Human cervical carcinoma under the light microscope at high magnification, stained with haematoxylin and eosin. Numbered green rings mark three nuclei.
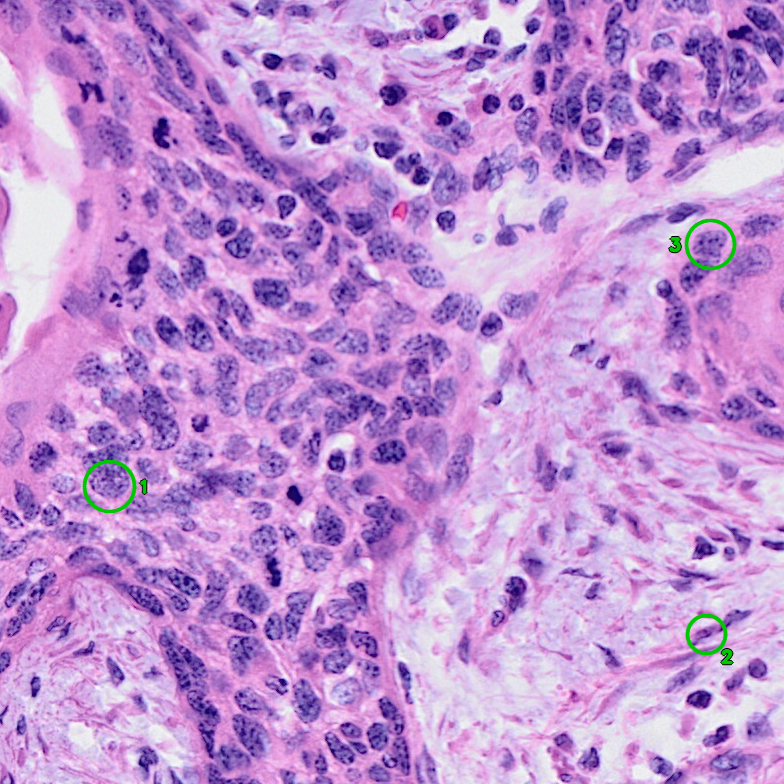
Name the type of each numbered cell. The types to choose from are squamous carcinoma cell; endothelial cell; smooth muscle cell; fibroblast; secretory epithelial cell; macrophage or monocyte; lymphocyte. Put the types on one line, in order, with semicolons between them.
squamous carcinoma cell; fibroblast; squamous carcinoma cell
